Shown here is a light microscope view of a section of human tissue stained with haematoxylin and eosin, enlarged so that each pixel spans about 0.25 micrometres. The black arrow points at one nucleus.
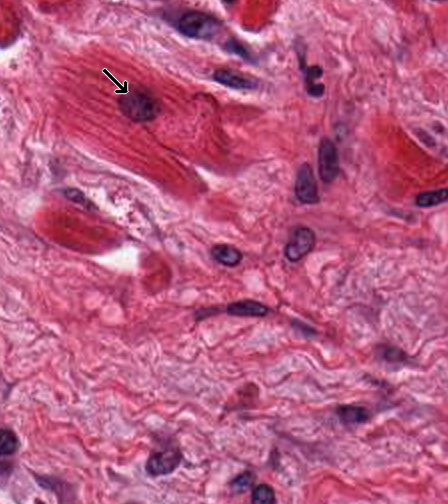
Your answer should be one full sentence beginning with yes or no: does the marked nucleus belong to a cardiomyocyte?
Yes, the nucleus that carries the mark belongs to a cardiomyocyte.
